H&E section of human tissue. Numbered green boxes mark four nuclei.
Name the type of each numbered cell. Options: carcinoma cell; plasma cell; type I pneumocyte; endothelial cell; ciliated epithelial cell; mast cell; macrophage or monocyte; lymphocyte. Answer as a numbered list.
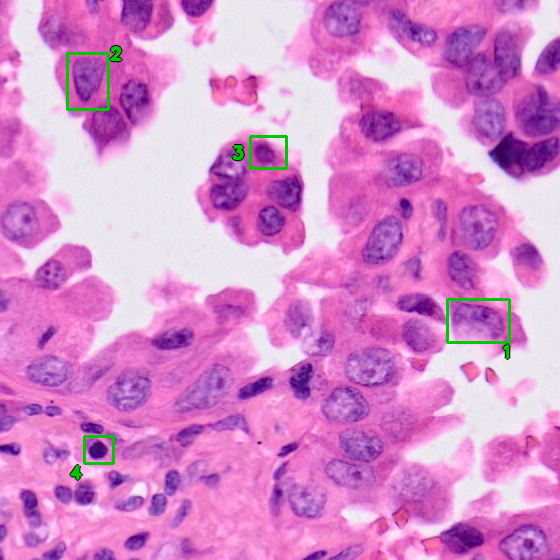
1. carcinoma cell
2. carcinoma cell
3. carcinoma cell
4. lymphocyte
